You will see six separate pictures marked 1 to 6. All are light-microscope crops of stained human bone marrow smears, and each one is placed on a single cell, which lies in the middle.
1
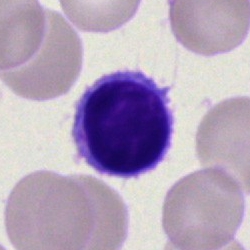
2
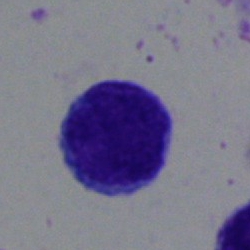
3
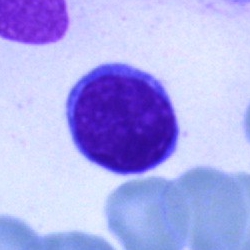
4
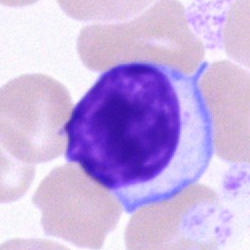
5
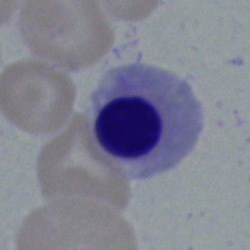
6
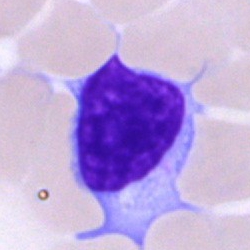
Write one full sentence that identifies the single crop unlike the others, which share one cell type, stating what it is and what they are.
Crop 5 is an erythroblast, the one exception to the lymphocytes of the other crops.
